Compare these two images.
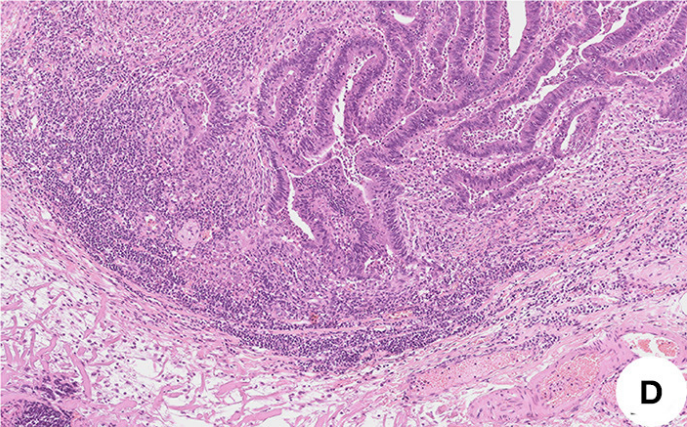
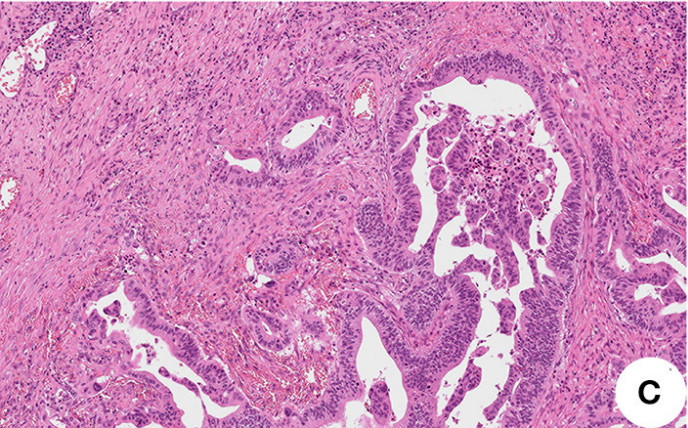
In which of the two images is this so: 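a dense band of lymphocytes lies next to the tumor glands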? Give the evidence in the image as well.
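Second image: tumor glands lie in pink fibrous stroma with few small round dark cells around them. First image: a broad, dense sheet of small round dark-blue cells borders the tumor glands. On this evidence: the first image.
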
